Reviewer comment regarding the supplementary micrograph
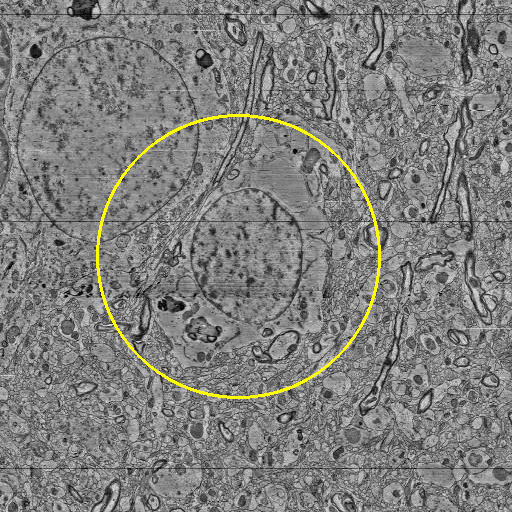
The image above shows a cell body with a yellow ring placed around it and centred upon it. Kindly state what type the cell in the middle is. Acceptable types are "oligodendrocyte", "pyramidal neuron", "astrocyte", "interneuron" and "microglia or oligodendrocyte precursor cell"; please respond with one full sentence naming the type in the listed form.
In the image above, the cell on which the yellow ring is centred is an astrocyte.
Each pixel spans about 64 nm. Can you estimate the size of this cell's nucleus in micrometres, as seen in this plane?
The nucleus of the ringed cell is approximately 9 by 7 micrometres in this plane.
